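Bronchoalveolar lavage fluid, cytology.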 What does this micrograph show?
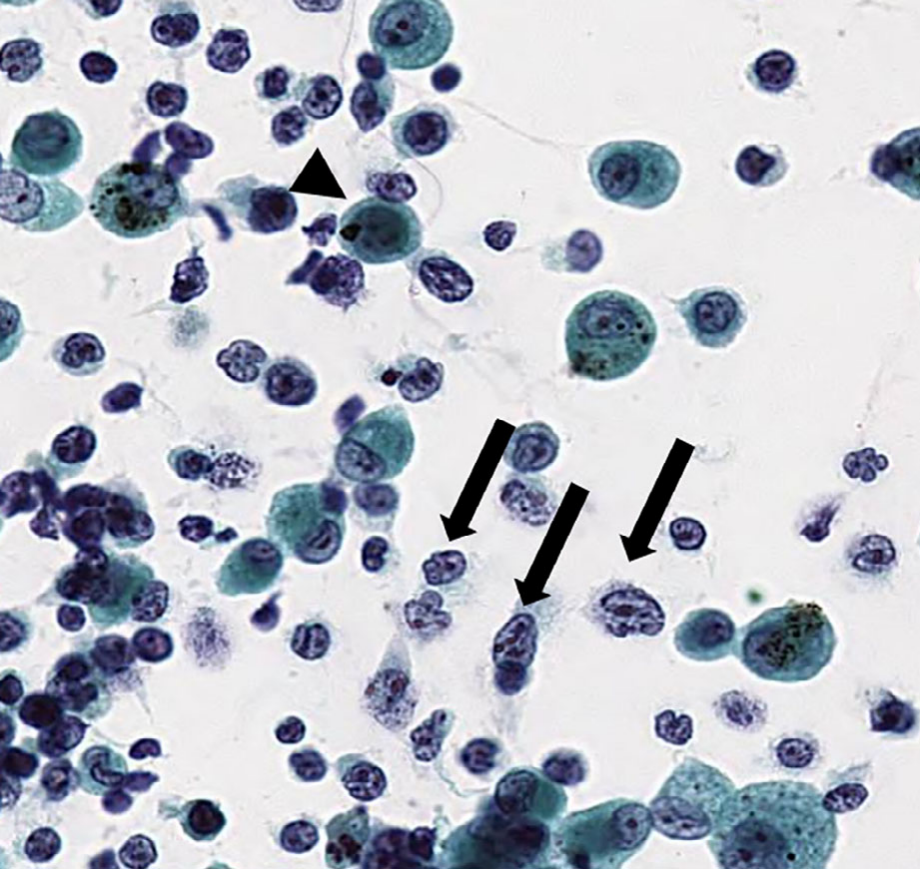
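Among the small lymphoid cells lie larger atypical cells with enlarged, irregular or folded nuclei and scant pale cytoplasm. The cells lie singly or in small loose clusters rather than in cohesive sheets, and are densest toward the lower left.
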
